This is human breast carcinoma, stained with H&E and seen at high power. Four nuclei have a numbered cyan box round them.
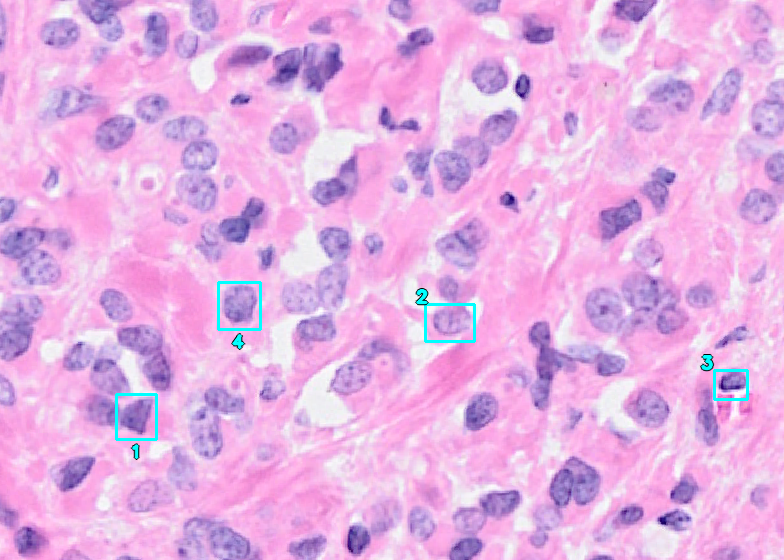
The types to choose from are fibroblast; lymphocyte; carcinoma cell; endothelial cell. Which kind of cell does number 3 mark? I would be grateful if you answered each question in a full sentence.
The cell numbered 3 represents an endothelial cell.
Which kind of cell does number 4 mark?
The cell numbered 4 has been identified as a carcinoma cell.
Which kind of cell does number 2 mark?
Cell 2 should be recorded as a carcinoma cell.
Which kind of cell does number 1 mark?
The nucleus marked 1 is the nucleus of a carcinoma cell.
